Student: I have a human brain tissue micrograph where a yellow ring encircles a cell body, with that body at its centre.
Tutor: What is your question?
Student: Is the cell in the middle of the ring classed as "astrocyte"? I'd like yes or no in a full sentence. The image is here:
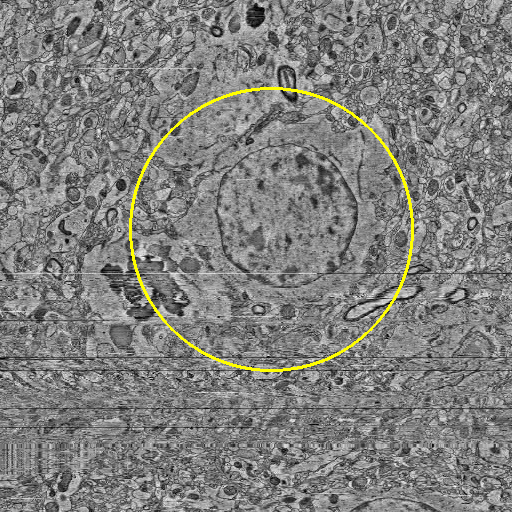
Yes, the cell in the middle of the ring is classed as that kind.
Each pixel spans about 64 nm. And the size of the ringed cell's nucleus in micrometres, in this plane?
In this plane, the nucleus of the cell at the centre of the ring is about 9 micrometres across.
